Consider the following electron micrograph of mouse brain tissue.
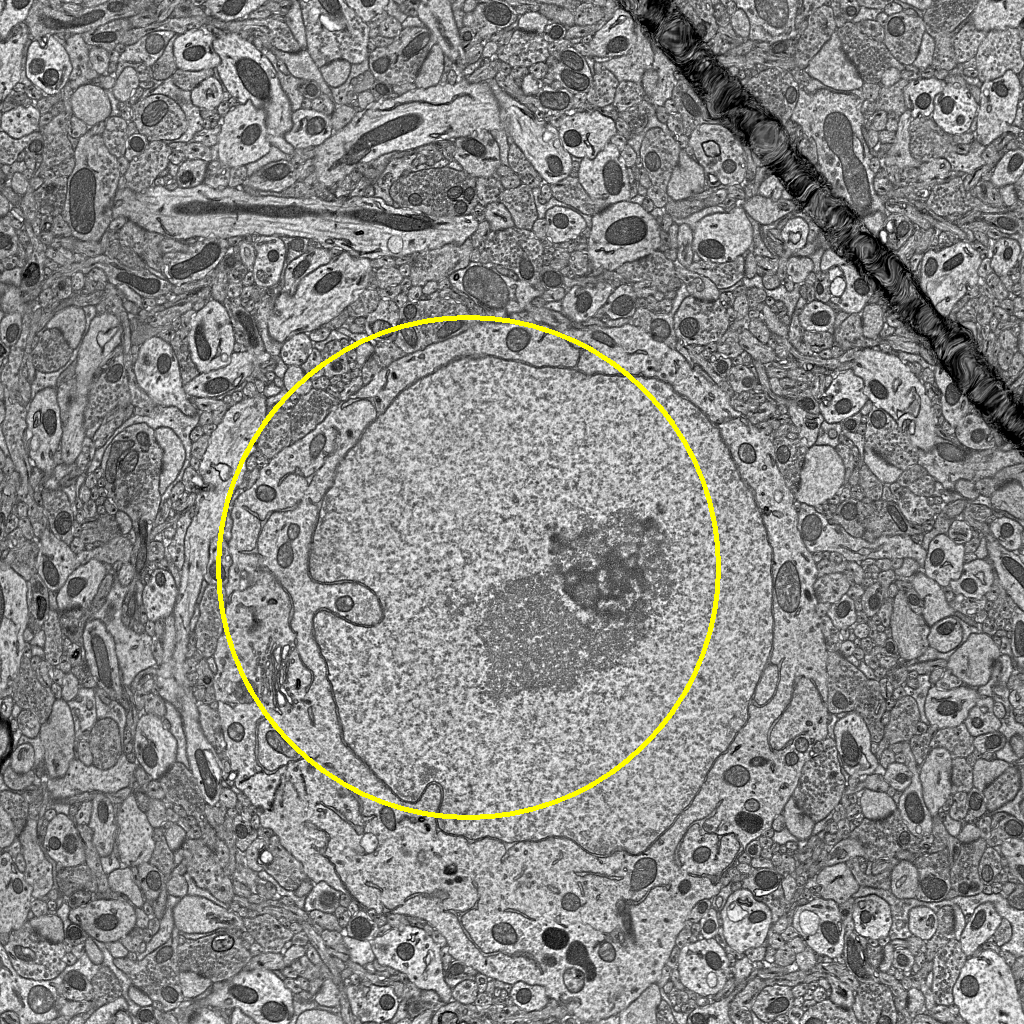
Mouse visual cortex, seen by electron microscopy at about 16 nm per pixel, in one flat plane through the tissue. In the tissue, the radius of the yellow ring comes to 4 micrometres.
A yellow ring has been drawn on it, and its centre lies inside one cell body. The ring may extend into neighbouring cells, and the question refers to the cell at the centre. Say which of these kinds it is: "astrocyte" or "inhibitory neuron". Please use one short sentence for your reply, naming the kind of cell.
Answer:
The centre of the ring falls on an inhibitory neuron.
